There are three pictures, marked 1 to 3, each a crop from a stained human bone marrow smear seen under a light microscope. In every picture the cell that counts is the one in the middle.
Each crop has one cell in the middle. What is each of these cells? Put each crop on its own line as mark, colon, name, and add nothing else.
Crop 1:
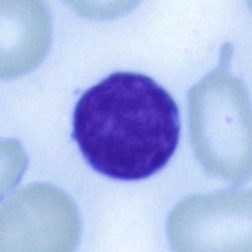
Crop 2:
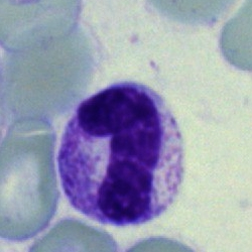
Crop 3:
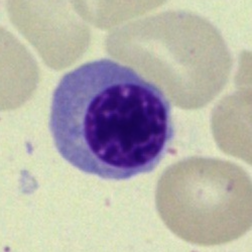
1: lymphocyte
2: band neutrophil
3: erythroblast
